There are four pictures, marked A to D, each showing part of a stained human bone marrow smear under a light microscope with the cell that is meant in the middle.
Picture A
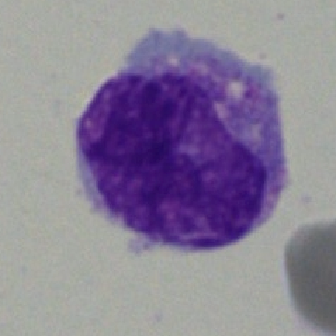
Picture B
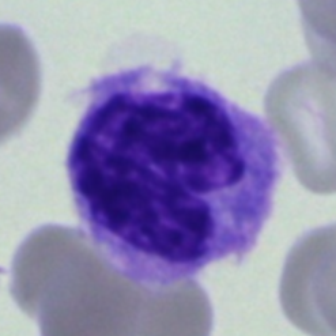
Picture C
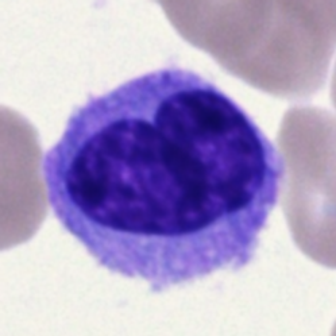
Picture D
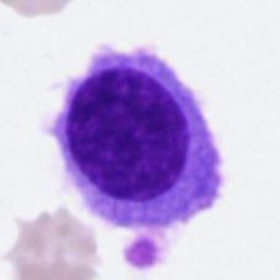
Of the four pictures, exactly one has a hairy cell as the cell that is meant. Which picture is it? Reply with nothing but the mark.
D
